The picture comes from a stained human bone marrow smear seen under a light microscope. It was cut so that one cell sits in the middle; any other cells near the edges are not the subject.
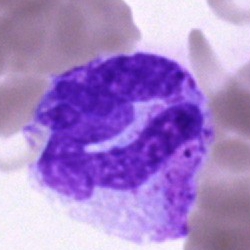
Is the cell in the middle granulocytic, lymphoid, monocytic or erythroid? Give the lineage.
monocytic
